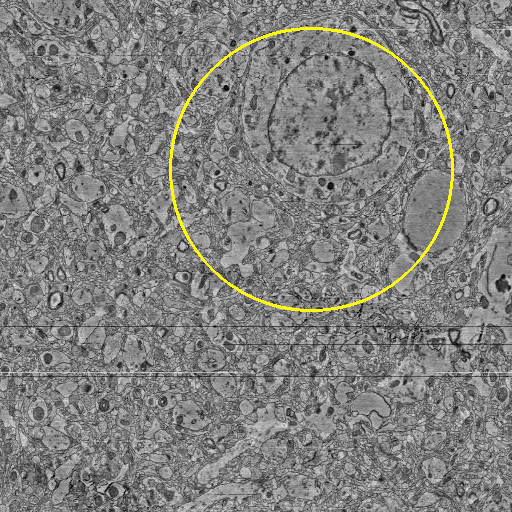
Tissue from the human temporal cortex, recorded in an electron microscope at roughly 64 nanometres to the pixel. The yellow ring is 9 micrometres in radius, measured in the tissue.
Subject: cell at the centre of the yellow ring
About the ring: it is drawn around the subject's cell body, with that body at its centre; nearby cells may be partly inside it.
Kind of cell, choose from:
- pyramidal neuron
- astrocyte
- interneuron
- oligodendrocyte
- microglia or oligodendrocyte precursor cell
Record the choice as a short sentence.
The subject cell is a pyramidal neuron.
